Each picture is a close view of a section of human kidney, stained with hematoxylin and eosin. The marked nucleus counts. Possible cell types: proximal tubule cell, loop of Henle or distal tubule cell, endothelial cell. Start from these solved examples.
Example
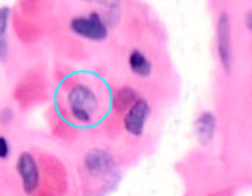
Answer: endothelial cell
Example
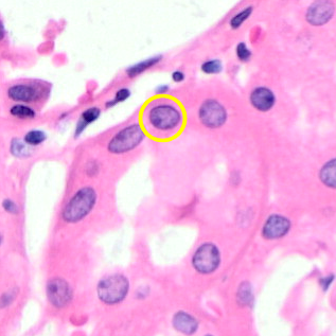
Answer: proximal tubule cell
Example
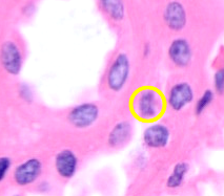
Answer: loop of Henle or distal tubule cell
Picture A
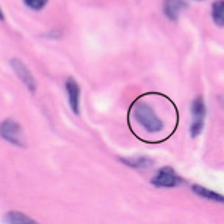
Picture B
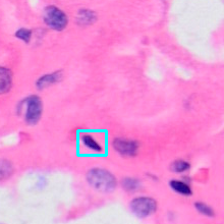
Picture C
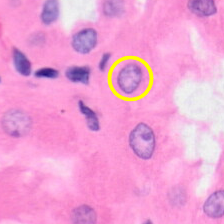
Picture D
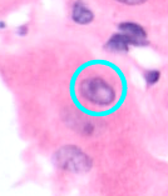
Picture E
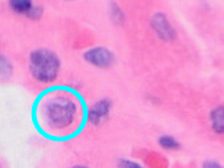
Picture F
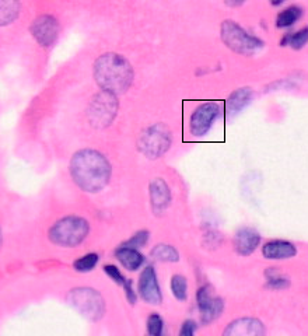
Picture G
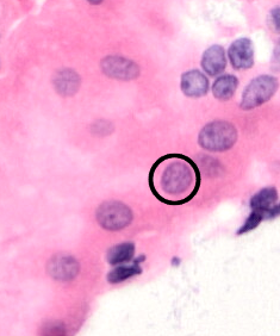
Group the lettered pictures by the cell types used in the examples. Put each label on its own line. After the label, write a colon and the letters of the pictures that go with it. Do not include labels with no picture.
proximal tubule cell: C, D, G
loop of Henle or distal tubule cell: E, F
endothelial cell: A, B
